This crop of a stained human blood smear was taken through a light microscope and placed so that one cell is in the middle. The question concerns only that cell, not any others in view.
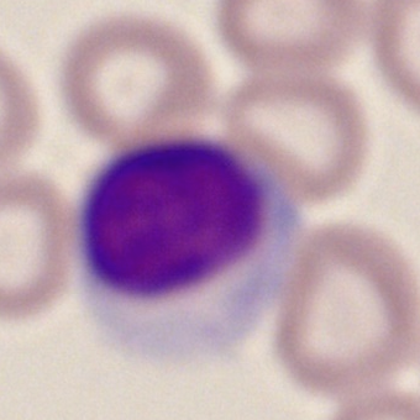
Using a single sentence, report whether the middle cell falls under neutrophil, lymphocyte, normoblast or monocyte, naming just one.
Present in the middle of the crop is a lymphocyte.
